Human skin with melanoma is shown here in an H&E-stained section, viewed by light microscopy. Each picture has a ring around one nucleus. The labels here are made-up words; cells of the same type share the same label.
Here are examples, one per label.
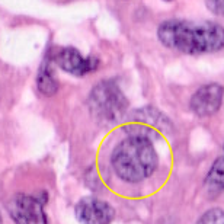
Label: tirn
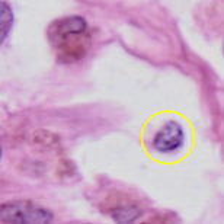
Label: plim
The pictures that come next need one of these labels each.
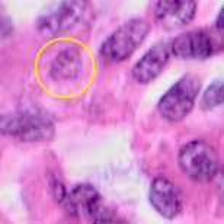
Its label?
tirn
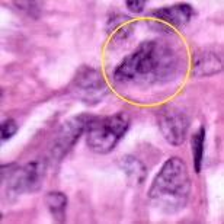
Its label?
tirn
